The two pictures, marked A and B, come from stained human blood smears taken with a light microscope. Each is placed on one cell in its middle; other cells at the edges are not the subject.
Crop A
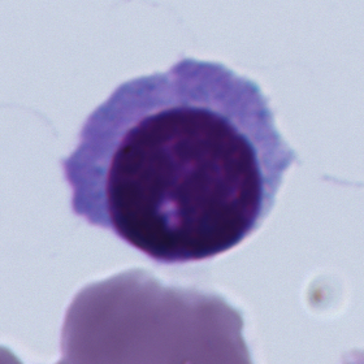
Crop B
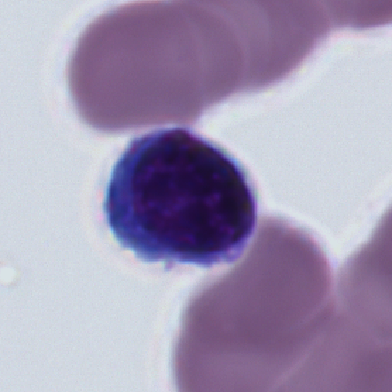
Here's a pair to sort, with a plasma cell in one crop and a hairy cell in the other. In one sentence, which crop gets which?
Crop A has been identified as a hairy cell, and crop B has been identified as a plasma cell.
